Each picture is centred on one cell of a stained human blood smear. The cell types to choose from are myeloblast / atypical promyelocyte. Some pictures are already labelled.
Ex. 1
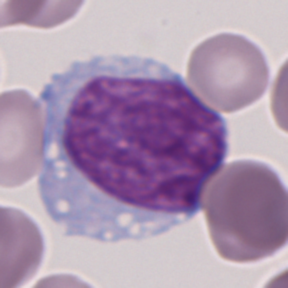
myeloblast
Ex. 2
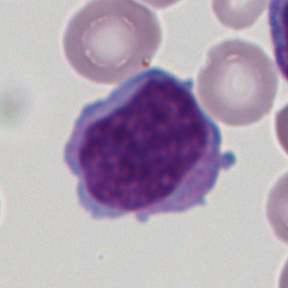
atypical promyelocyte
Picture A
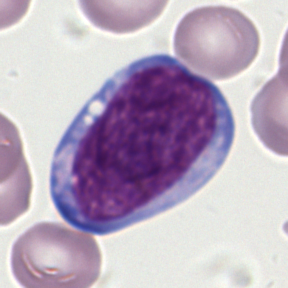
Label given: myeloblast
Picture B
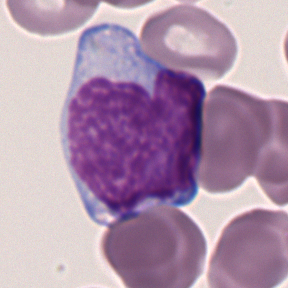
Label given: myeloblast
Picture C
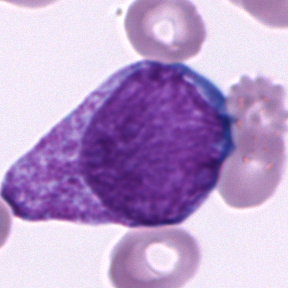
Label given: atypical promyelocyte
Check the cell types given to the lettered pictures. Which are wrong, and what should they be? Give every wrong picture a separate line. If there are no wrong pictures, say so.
No label is wrong.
